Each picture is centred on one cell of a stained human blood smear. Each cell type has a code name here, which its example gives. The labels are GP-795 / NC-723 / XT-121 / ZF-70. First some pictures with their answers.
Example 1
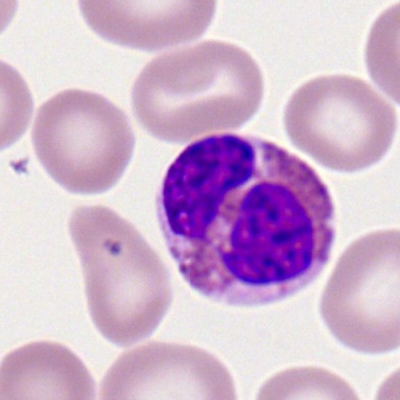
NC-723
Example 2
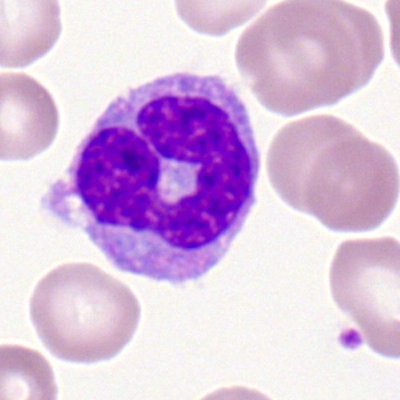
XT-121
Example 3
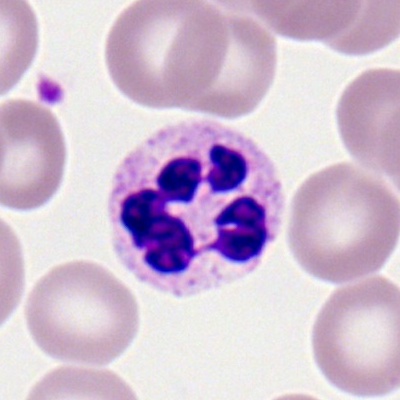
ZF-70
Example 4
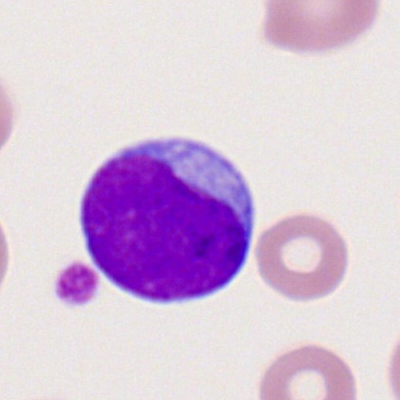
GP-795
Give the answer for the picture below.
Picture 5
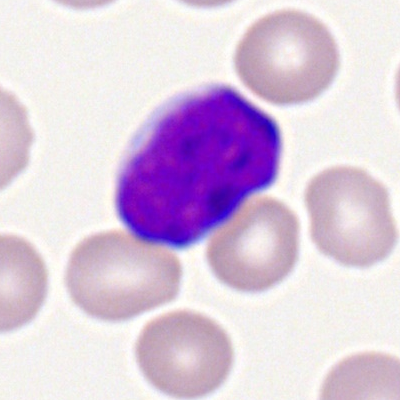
GP-795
